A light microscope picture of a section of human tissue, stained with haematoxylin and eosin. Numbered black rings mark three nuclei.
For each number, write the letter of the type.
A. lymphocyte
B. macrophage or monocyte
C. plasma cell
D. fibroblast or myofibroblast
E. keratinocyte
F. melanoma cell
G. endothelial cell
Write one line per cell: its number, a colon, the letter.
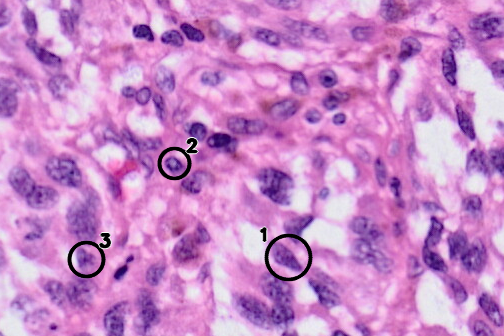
1: F
2: A
3: F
